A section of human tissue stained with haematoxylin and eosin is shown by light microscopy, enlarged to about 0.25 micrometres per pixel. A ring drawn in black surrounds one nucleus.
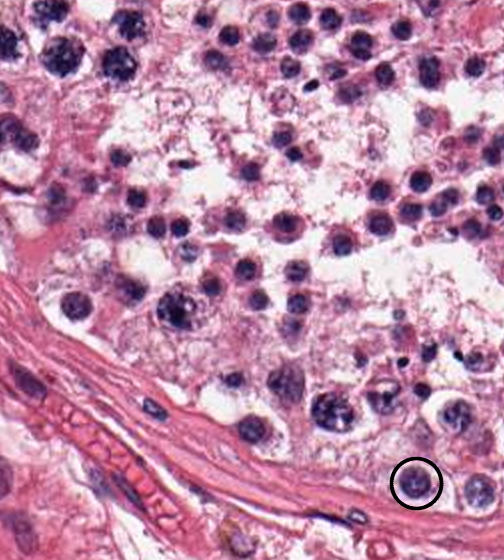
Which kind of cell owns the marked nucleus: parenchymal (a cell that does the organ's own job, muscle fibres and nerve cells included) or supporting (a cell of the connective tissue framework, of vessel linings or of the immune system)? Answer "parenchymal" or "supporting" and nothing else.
parenchymal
